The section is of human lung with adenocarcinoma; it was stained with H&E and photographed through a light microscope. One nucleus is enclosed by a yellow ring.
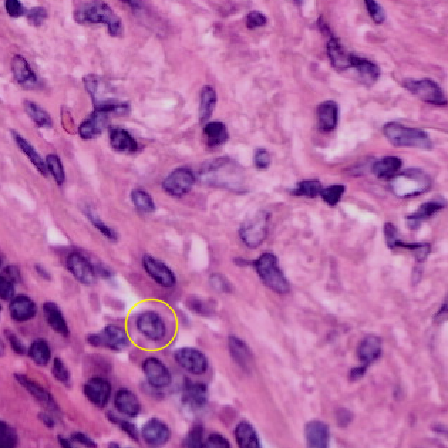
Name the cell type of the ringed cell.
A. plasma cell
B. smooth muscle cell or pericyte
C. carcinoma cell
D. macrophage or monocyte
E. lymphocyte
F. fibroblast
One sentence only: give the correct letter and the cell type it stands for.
Identified correctly by option A, the ringed cell is a plasma cell.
